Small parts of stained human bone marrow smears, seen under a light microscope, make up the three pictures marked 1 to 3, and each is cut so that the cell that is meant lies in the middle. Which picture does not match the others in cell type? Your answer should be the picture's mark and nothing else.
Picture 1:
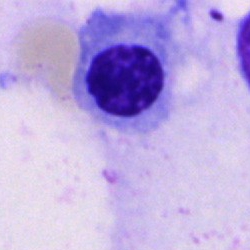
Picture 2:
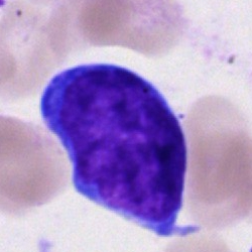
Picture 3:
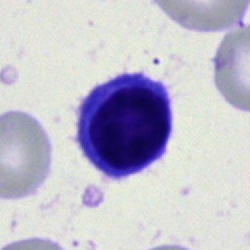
2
